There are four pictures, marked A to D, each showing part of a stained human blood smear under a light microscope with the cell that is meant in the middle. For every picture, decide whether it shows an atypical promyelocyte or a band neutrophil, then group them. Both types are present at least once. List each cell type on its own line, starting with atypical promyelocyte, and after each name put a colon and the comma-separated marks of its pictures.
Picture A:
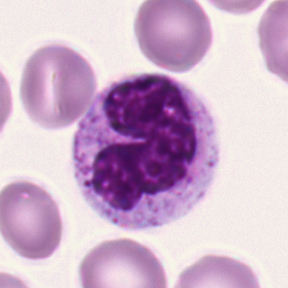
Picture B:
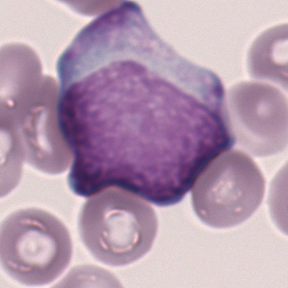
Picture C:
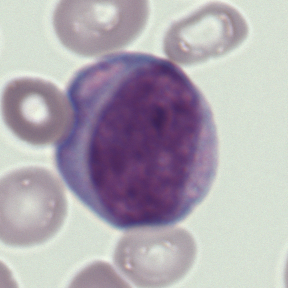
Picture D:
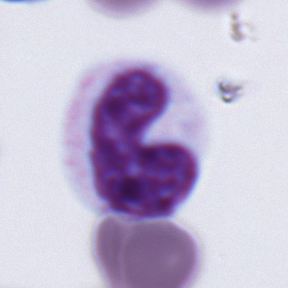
atypical promyelocyte: B, C
band neutrophil: A, D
